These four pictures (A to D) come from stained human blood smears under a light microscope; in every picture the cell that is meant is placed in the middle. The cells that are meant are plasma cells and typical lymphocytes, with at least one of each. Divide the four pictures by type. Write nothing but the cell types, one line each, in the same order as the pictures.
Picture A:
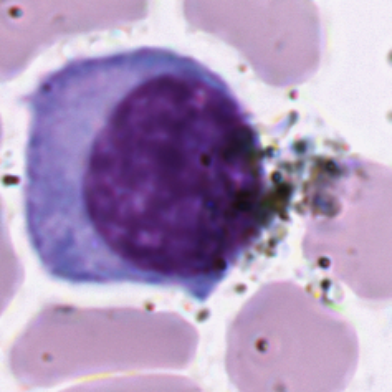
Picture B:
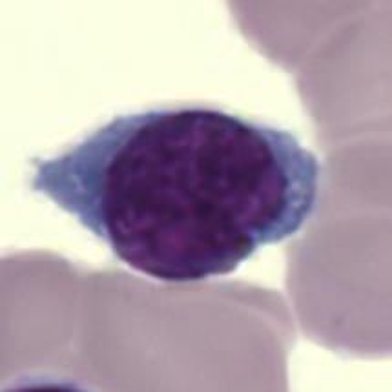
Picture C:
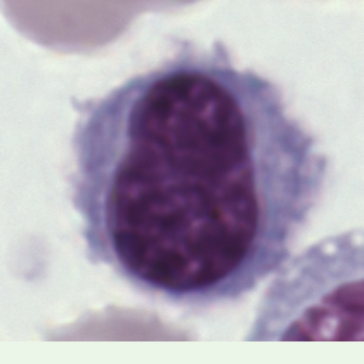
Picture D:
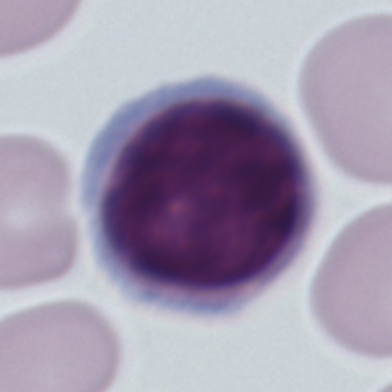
plasma cell
plasma cell
plasma cell
typical lymphocyte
